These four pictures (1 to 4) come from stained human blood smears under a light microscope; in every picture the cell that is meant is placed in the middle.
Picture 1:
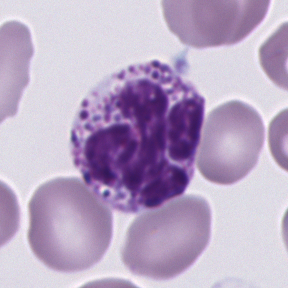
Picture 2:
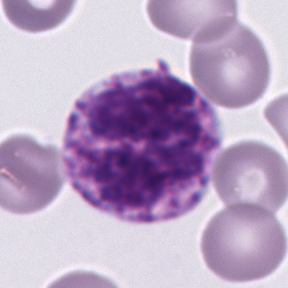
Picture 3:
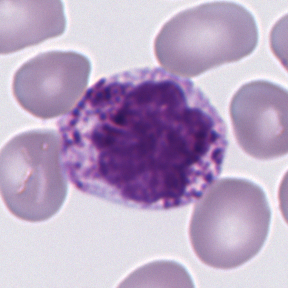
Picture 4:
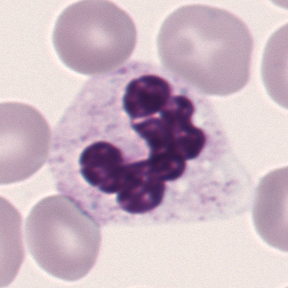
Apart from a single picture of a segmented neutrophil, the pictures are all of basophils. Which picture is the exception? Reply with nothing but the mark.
4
